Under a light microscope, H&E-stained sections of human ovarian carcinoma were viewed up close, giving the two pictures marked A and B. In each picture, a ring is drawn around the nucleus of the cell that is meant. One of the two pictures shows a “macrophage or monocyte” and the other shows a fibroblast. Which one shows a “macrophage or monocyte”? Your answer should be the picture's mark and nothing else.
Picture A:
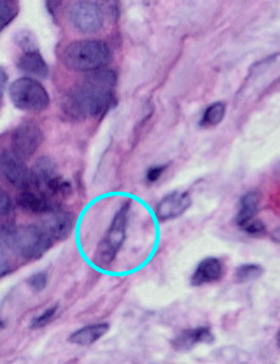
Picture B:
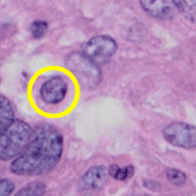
B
